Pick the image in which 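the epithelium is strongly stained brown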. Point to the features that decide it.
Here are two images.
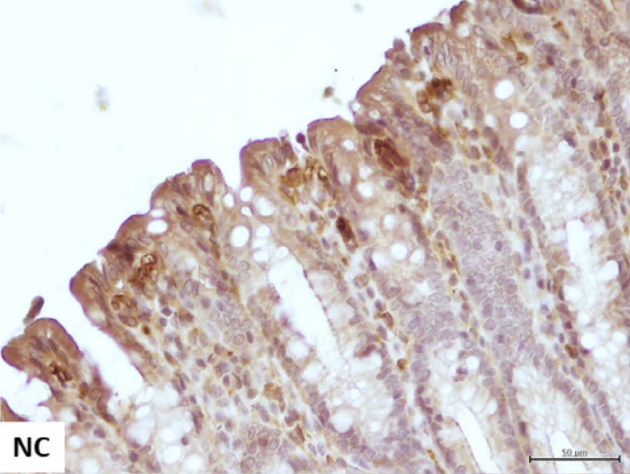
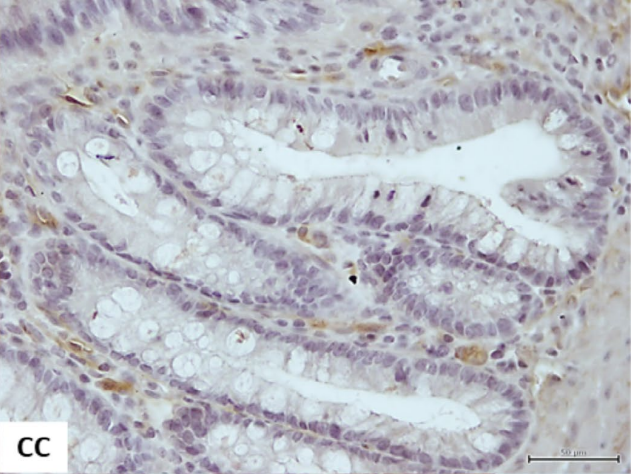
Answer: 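Second image: the epithelial cells are mostly blue-purple with little brown.
Hence: the first image.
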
